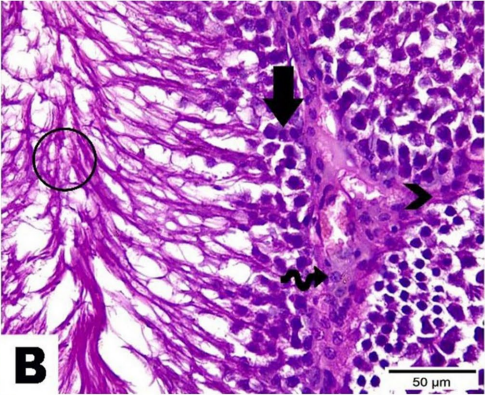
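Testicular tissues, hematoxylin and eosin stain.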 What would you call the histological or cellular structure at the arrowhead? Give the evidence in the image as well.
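Basement membrane. The arrowhead points to a thin pink line at the edge of a tubule. The line separates the tubule's cells from the space between tubules.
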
